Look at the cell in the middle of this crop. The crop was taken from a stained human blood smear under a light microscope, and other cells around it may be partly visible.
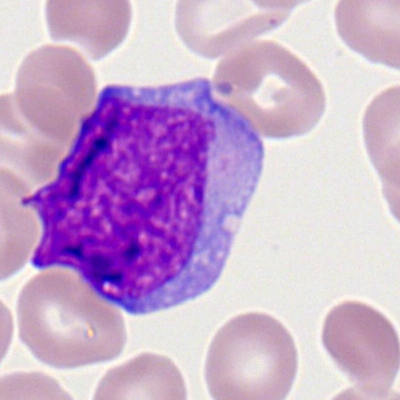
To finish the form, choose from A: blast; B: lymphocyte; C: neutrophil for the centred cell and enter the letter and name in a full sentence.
Seen at the centre of the crop is a blast, so option A is correct.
